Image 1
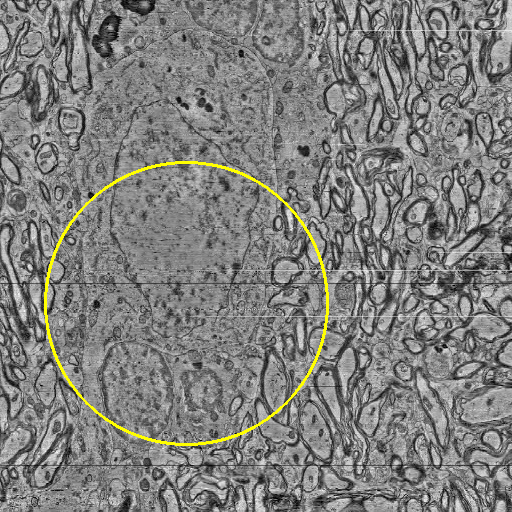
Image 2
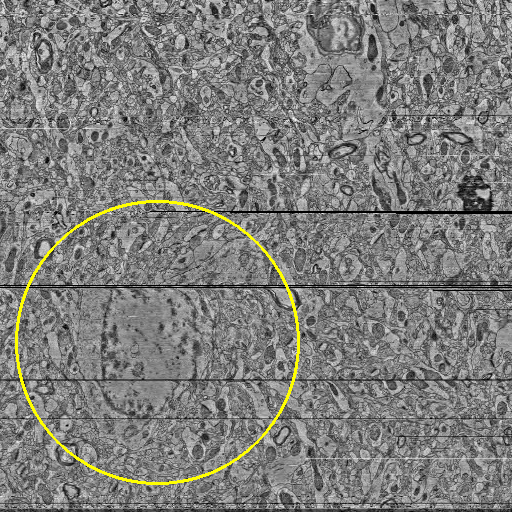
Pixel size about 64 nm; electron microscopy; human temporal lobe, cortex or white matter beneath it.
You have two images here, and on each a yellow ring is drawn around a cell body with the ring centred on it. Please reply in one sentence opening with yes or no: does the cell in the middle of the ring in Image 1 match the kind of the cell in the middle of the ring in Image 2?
No, the two images show cells of two kinds at the centres of their rings.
